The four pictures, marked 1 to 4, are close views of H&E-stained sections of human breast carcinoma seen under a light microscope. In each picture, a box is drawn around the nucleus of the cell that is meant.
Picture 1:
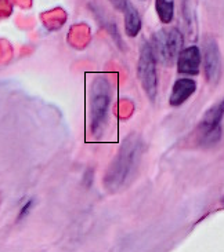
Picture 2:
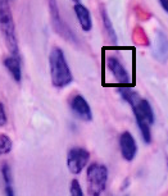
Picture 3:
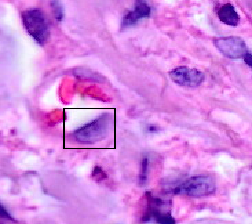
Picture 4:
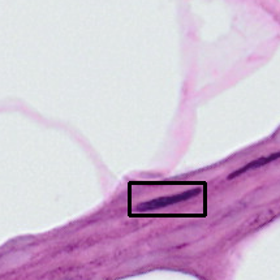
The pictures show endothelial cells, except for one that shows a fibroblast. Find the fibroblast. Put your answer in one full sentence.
The cell in picture 4 is the fibroblast.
